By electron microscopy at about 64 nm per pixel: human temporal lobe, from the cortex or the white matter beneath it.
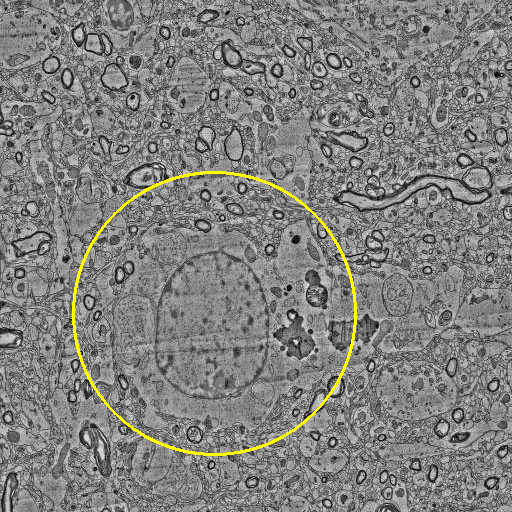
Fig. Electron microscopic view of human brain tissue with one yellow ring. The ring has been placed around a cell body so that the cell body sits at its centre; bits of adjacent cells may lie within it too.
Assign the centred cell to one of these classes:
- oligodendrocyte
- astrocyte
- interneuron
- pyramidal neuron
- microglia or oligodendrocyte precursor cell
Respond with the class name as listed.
astrocyte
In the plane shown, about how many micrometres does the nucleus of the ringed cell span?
In this plane the nucleus is about 9 micrometres by 8.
